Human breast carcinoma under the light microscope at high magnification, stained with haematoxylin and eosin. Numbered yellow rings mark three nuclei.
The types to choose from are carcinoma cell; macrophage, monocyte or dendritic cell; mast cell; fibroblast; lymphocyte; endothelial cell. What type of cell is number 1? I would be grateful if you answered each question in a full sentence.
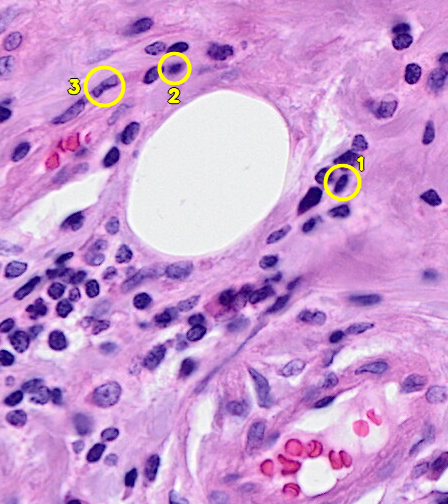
Number 1 is placed on a lymphocyte here.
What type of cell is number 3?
In this section, number 3 marks a fibroblast.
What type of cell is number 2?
The cell numbered 2 has been identified as a lymphocyte.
